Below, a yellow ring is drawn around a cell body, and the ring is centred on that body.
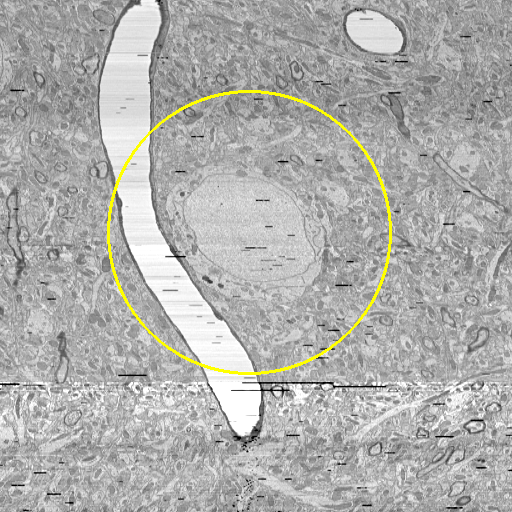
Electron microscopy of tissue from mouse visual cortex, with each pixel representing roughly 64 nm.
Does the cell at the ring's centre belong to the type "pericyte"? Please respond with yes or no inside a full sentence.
No, the centred cell inside the ring shown in the picture is of a different type.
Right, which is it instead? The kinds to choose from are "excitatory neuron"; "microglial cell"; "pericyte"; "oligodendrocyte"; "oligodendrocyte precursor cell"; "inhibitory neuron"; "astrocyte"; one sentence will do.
The cell in the ring is an excitatory neuron instead.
